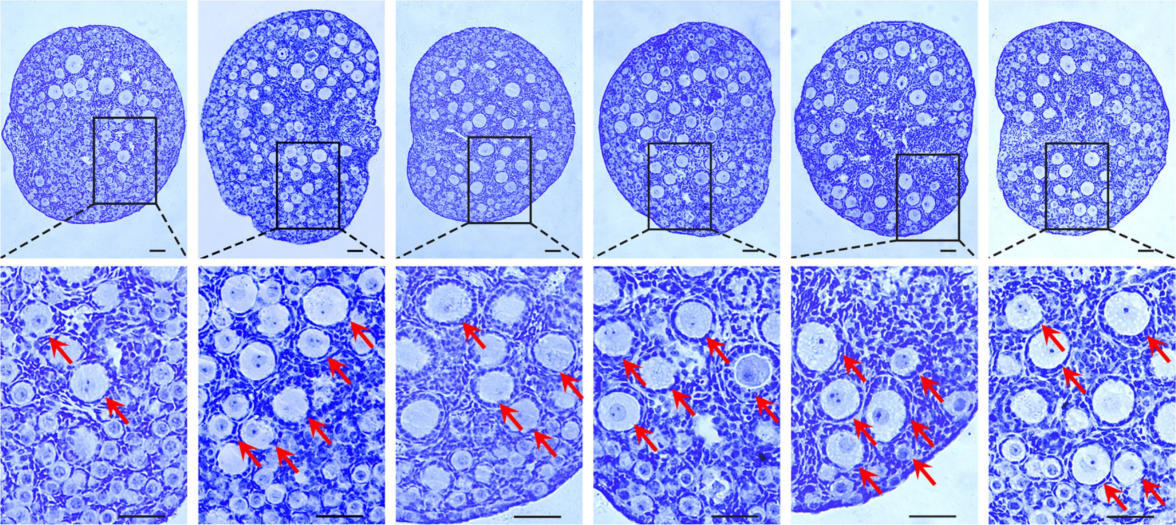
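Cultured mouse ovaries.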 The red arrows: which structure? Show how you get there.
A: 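The arrows point to large round pale oocytes with a central nucleus. Each of these oocytes is ringed by one or more layers of small, closely packed, darkly stained cells. They are larger than the many small oocytes with flat surrounding cells near the ovary surface. That points to this answer: growing follicles.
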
